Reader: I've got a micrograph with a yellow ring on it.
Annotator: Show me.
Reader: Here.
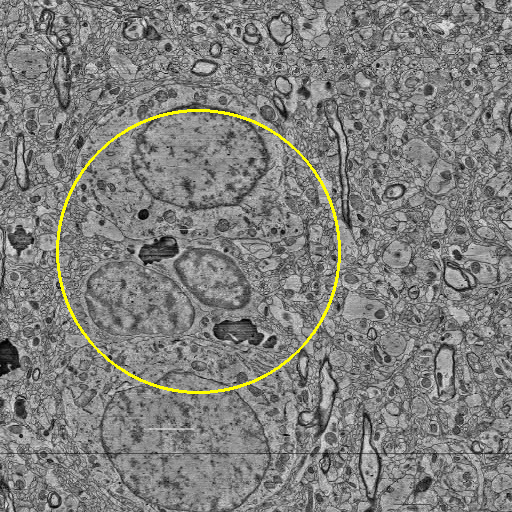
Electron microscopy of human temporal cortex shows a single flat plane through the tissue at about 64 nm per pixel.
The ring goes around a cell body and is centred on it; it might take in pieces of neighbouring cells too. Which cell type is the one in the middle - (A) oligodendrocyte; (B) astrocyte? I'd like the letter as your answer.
A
